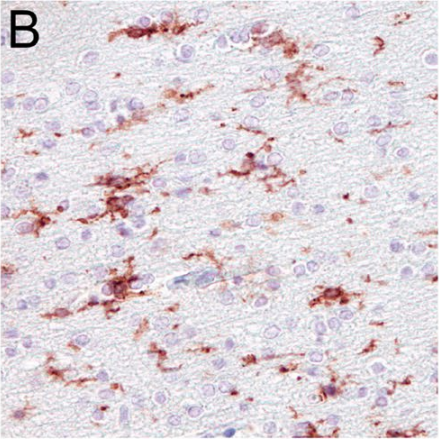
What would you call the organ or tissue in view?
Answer: White matter.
